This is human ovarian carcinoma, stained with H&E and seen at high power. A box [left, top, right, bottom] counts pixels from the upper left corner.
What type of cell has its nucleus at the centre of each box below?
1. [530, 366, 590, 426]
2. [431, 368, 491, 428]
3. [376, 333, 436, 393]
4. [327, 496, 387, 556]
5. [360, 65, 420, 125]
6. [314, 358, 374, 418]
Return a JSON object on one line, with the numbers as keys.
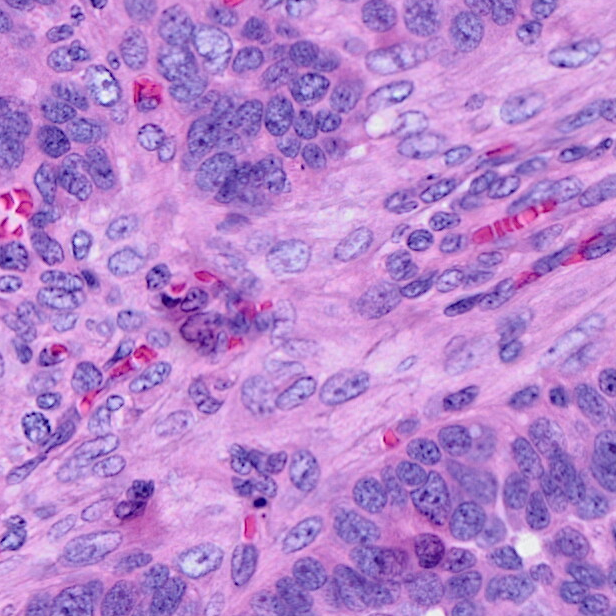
{"1": "lymphocyte", "2": "macrophage or monocyte", "3": "fibroblast", "4": "carcinoma cell", "5": "fibroblast", "6": "fibroblast"}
